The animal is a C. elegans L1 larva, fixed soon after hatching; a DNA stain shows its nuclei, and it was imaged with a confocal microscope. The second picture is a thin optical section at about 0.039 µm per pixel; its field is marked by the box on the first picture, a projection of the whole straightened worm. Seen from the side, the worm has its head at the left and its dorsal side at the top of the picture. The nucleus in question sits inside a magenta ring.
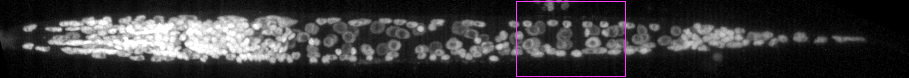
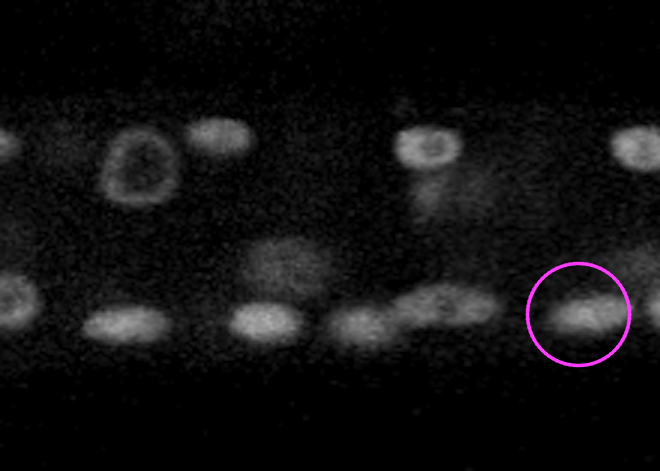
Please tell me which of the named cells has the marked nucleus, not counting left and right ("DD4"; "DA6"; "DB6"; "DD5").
DD5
